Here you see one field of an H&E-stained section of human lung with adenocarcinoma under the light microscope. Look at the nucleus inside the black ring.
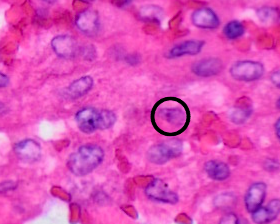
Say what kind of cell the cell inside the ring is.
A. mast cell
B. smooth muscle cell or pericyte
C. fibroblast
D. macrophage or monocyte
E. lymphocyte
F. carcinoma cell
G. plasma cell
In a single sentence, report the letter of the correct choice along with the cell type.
It is as option D has it, the cell inside the ring being a macrophage or monocyte.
